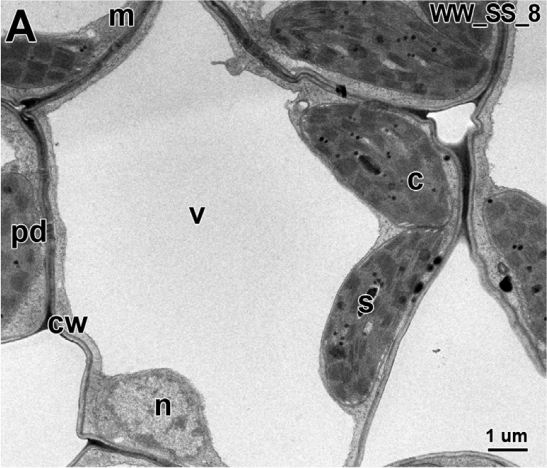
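These are leaf mesophyll cells seen by transmission electron microscopy, with thin cell walls meeting at corners between neighbouring cells. Each cell is dominated by a large, pale central vacuole that pushes the cytoplasm into a thin layer against the wall. Lens-shaped chloroplasts lie pressed along this peripheral layer, their interiors showing stacked thylakoid membranes and small dark droplets. A nucleus with finely granular contents sits in the cytoplasm at the edge of one cell. Small mitochondria can be found in the thin cytoplasmic rim near the wall.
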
